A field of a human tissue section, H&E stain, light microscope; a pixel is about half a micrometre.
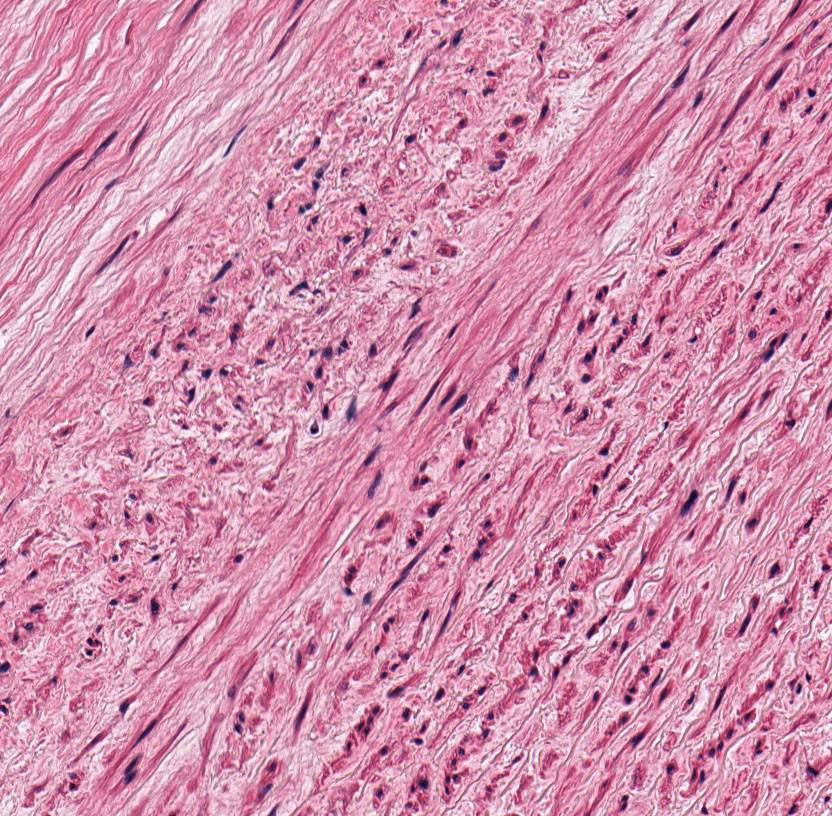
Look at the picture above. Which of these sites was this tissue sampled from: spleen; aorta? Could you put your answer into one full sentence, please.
The tissue sample derives from the aorta.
